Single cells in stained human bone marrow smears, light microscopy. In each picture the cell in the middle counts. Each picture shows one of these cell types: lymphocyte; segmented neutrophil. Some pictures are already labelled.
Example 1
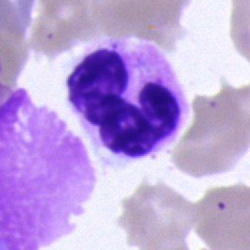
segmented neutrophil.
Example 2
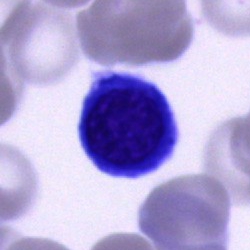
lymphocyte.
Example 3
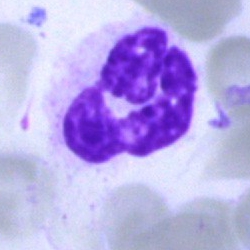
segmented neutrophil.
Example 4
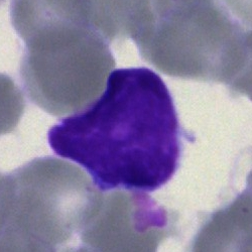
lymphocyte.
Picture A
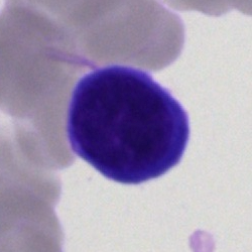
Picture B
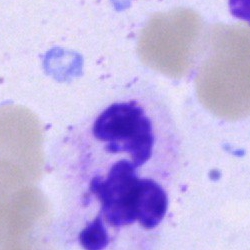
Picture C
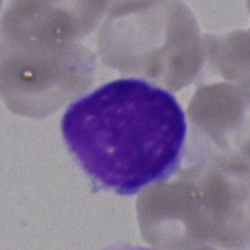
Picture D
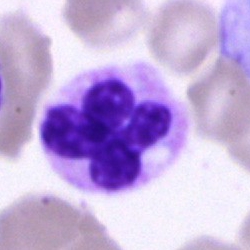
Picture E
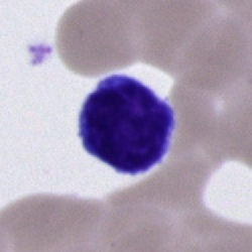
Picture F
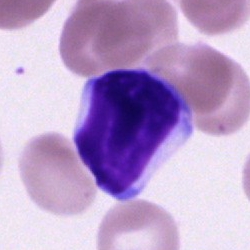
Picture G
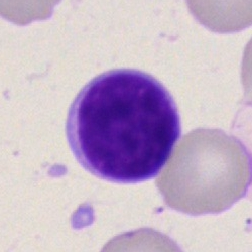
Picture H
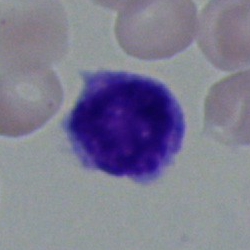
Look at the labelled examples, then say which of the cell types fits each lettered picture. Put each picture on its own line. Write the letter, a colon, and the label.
A: lymphocyte.
B: segmented neutrophil.
C: lymphocyte.
D: segmented neutrophil.
E: lymphocyte.
F: lymphocyte.
G: lymphocyte.
H: lymphocyte.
